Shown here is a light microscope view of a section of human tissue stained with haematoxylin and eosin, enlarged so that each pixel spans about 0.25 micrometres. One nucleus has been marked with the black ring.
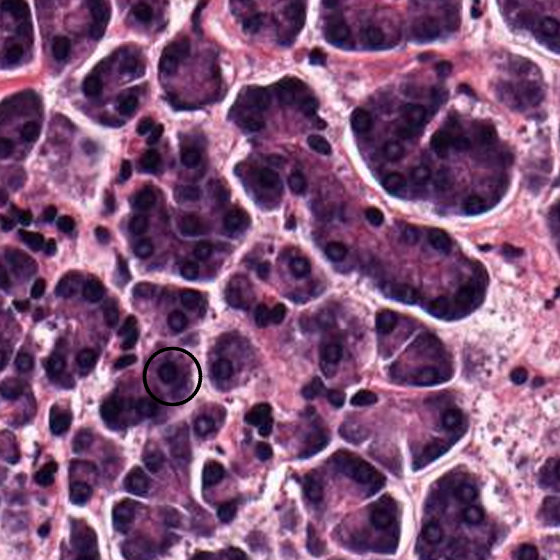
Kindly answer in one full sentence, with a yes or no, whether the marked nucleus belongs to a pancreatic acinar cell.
Yes, the marked nucleus, in this picture, is that of a pancreatic acinar cell.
